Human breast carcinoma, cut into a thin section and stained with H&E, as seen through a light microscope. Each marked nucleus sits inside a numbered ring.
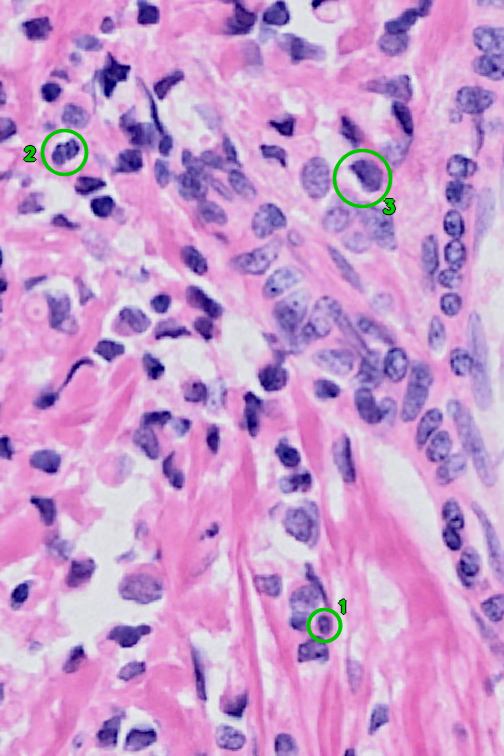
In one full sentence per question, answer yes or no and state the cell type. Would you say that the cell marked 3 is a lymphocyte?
No, cell 3 is not a lymphocyte: it is a carcinoma cell.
